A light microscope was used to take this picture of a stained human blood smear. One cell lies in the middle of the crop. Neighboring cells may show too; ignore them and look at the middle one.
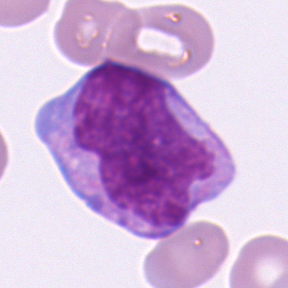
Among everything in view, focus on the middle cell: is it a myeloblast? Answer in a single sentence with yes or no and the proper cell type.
No, in this crop the central cell is an atypical promyelocyte instead of a myeloblast.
